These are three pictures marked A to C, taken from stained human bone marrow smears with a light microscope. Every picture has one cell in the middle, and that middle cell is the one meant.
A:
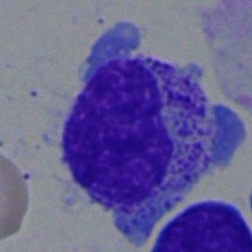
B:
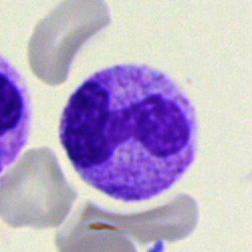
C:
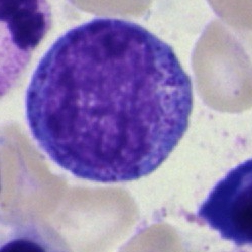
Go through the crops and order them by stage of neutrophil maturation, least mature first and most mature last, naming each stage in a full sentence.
Along a scale from least to most mature, the order is crop C (a promyelocyte), crop A (a myelocyte) and crop B (a band neutrophil).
